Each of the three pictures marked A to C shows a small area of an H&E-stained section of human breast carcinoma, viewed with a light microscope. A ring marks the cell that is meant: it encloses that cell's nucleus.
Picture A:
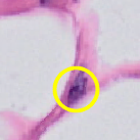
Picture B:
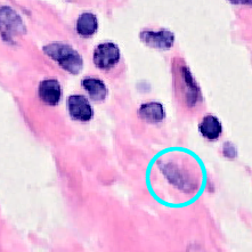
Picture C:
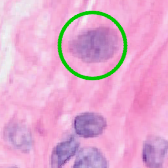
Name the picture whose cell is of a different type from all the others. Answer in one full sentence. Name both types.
The different one is picture A; it shows an endothelial cell, whereas all the others show fibroblasts.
